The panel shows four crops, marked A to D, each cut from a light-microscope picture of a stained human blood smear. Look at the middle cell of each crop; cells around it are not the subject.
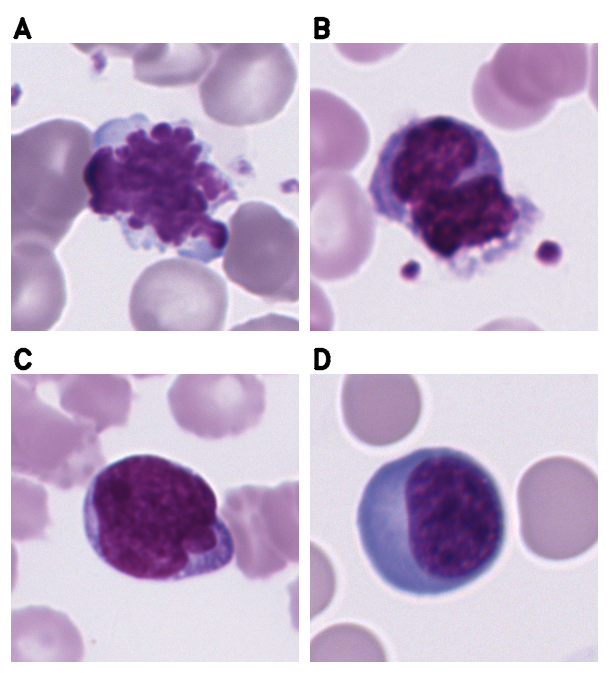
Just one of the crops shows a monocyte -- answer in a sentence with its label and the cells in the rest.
What crop B shows is a monocyte, while crop A is a lymphocyte, crop C is a myeloblast and crop D is an erythroblast.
